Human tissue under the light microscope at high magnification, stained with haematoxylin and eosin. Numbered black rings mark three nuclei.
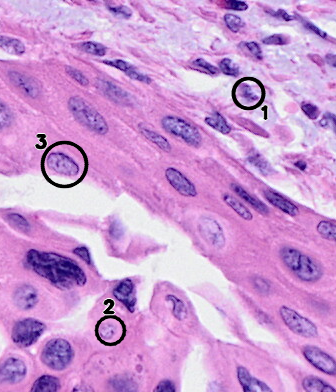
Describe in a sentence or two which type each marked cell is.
Cell 1 is a fibroblast, cell 2 is a squamous carcinoma cell and cell 3 is a squamous carcinoma cell.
